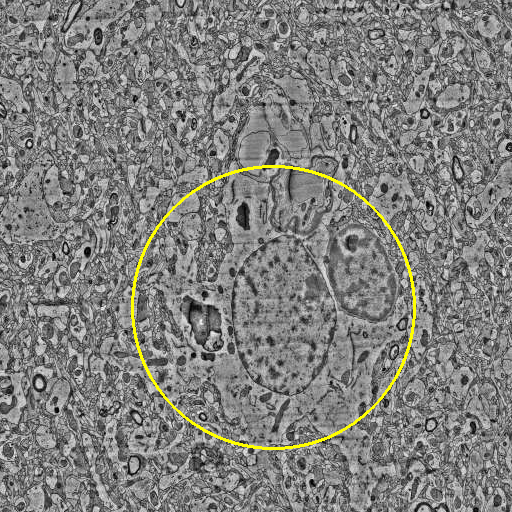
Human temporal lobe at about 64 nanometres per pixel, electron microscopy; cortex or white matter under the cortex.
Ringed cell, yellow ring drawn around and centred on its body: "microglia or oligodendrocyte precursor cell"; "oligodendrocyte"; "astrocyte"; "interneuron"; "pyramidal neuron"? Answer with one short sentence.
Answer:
This ringed cell is an astrocyte.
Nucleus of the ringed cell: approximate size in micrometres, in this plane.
Approximately 10 micrometres long and 7 micrometres wide, in this plane.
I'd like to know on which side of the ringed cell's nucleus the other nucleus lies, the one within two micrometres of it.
That other nucleus is to the upper right of it.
